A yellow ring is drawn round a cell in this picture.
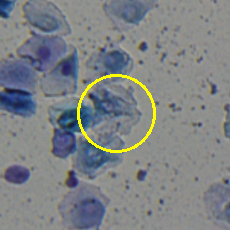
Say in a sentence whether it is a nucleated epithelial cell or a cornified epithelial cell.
The cell in the ring is a cornified epithelial cell.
